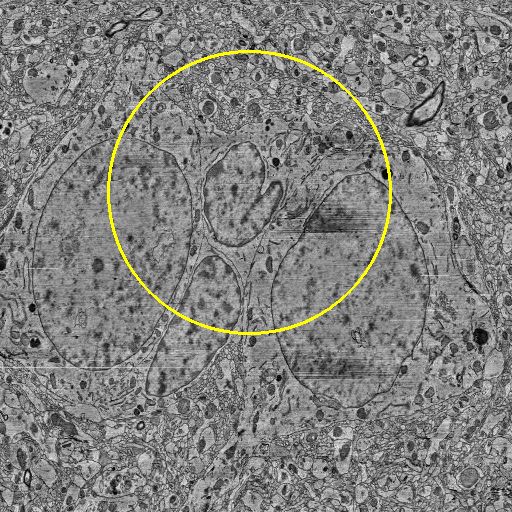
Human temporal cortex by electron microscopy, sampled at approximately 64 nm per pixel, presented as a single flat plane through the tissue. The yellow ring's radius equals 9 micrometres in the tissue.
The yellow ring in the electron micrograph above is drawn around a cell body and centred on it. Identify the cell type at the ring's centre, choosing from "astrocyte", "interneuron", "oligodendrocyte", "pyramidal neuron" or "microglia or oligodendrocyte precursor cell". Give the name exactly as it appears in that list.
microglia or oligodendrocyte precursor cell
